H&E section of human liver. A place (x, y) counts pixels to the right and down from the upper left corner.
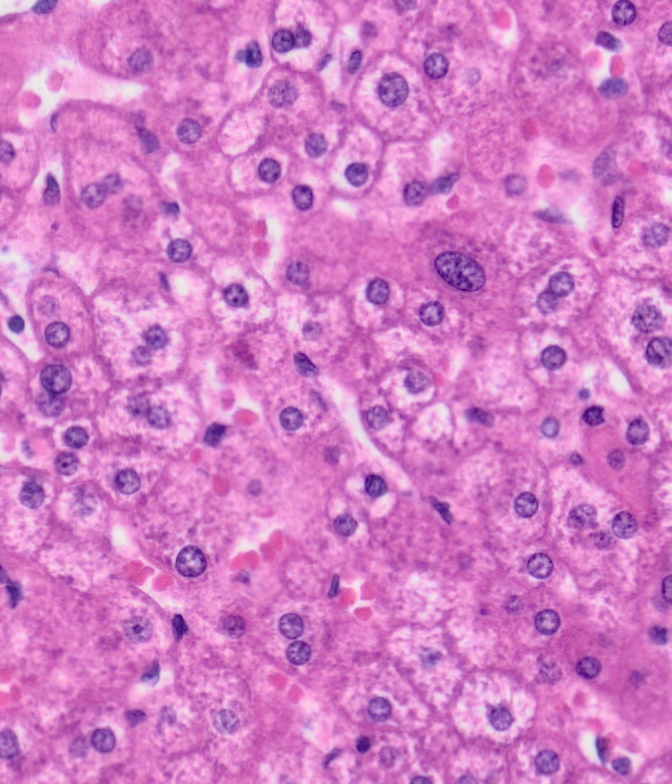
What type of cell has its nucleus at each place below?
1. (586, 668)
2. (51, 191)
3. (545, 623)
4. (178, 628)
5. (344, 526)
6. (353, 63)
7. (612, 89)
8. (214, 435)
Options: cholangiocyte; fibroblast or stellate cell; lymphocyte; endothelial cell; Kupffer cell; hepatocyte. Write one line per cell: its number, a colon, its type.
1: hepatocyte
2: Kupffer cell
3: hepatocyte
4: fibroblast or stellate cell
5: hepatocyte
6: Kupffer cell
7: endothelial cell
8: fibroblast or stellate cell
